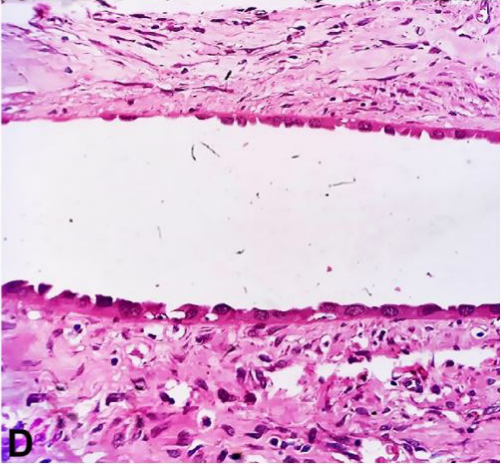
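This high-power view shows an epithelial cyst whose empty lumen runs across the middle of the field, lined above and below by a single layer of cells. The lining cells are cuboidal, and some have round nuclei that bulge toward the lumen, giving a hobnail look. Beneath the lining lies a loose pink stroma with scattered spindle to plump cells.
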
